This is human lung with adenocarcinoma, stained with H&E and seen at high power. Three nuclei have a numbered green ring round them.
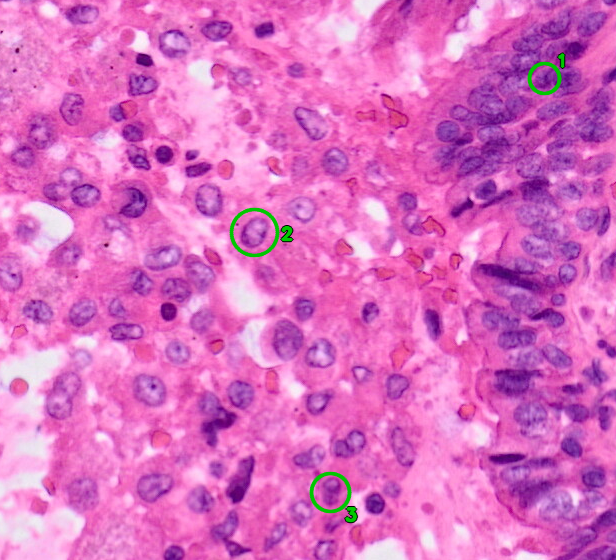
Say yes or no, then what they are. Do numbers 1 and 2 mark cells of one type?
No, cell 1 is a ciliated epithelial cell and cell 2 is a macrophage or monocyte.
